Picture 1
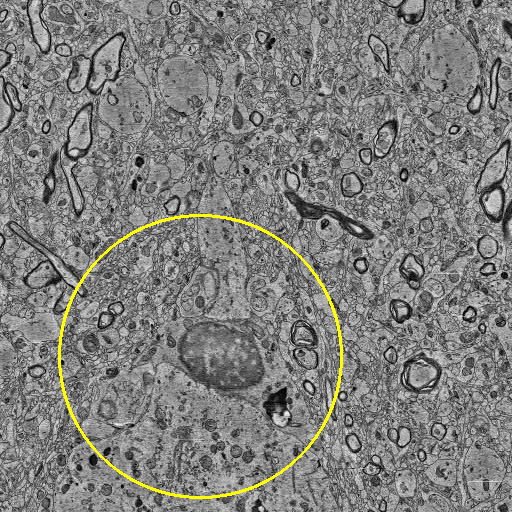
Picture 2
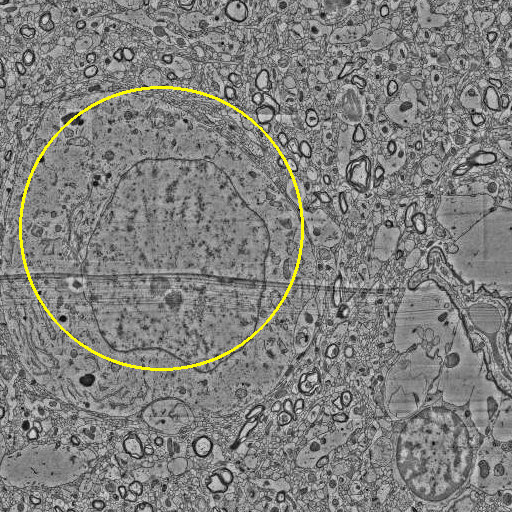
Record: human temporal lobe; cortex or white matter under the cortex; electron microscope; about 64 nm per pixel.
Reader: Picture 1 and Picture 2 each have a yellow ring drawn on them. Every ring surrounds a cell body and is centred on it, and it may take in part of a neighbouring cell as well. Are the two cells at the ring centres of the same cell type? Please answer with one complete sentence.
No, the cells are of two cell types.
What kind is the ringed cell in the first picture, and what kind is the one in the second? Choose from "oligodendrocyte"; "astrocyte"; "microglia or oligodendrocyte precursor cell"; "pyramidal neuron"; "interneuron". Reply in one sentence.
The first cell is an oligodendrocyte; the second is a pyramidal neuron.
